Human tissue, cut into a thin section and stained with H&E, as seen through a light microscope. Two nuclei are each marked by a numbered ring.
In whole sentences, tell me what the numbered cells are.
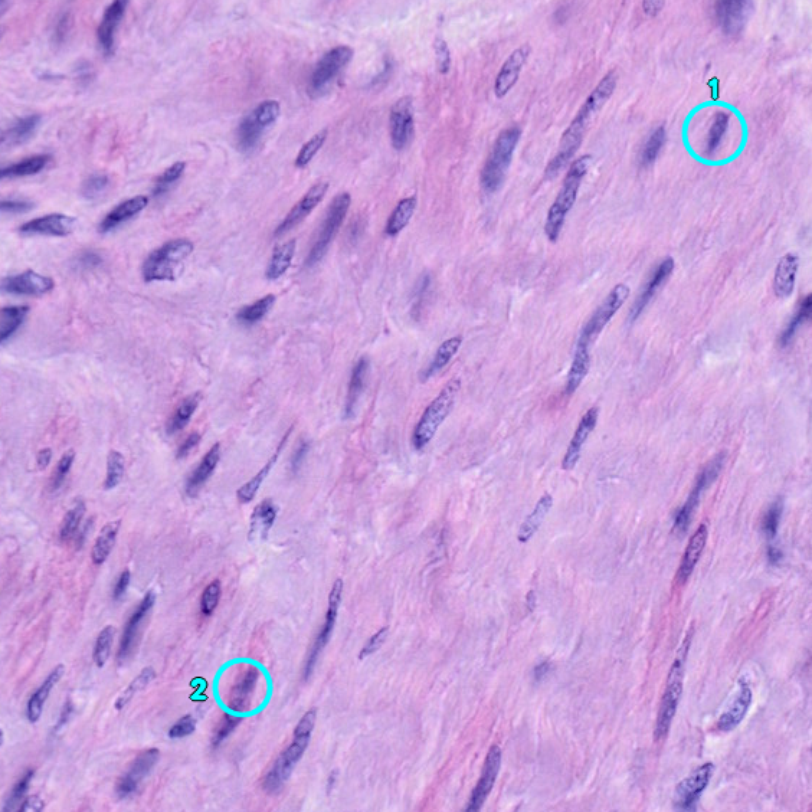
Cell 1 is a fibroblast and cell 2 is a smooth muscle cell.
